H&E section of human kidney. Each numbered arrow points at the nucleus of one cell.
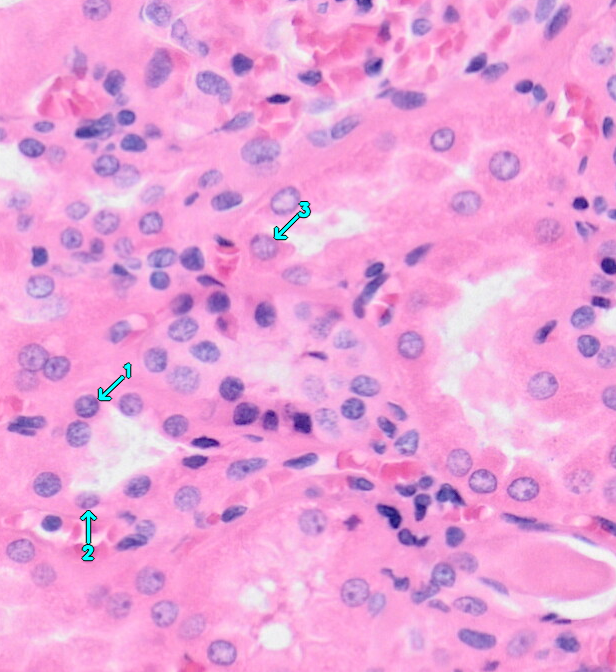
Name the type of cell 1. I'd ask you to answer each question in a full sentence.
The marked cell bearing number 1 is a loop of Henle or distal tubule cell.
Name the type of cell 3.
In the tissue shown, cell 3 is a proximal tubule cell.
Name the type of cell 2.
Looking at the numbered marks, cell 2 is a loop of Henle or distal tubule cell.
